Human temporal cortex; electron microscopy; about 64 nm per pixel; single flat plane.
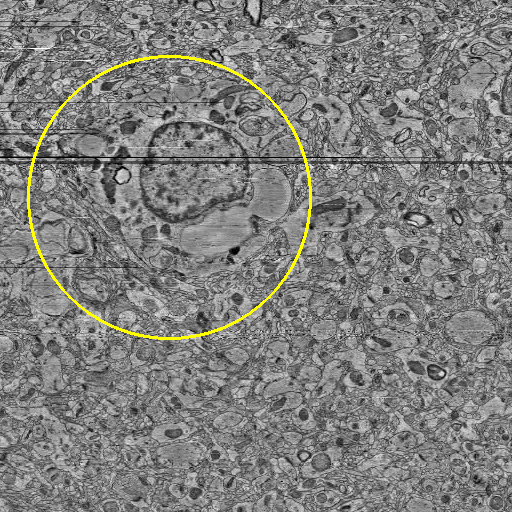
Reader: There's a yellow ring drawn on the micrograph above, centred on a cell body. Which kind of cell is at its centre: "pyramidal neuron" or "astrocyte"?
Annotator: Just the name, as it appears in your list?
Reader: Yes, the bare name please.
astrocyte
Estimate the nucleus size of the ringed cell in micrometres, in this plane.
Roughly 7 micrometers across, in this plane.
